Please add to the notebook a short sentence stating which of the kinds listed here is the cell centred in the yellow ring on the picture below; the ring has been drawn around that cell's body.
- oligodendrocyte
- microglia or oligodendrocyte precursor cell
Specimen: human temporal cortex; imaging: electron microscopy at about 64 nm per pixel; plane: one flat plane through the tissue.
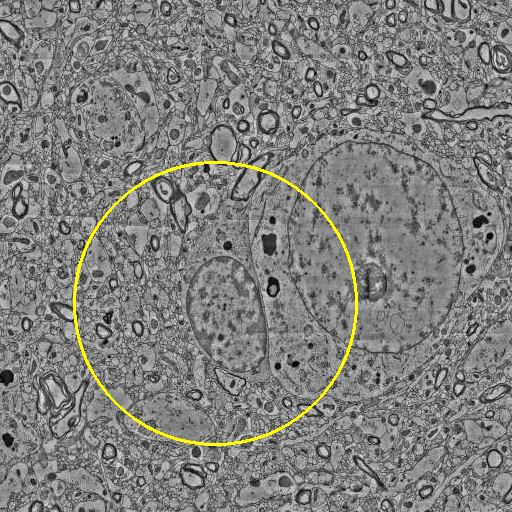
The cell centred in the yellow ring is an oligodendrocyte.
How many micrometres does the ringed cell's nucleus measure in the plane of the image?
The nucleus comes to approximately 8 by 5 micrometres and is clearly longer than it is wide in this plane.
